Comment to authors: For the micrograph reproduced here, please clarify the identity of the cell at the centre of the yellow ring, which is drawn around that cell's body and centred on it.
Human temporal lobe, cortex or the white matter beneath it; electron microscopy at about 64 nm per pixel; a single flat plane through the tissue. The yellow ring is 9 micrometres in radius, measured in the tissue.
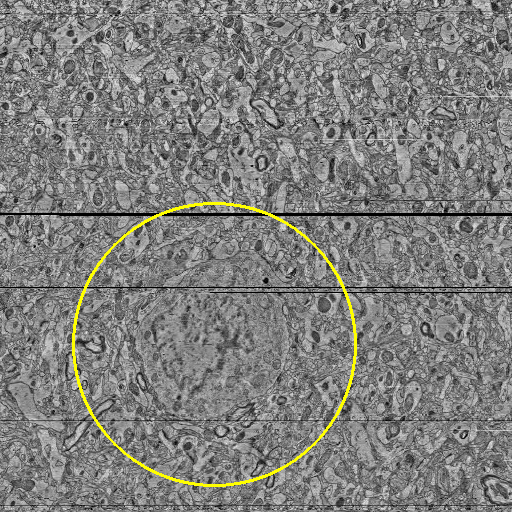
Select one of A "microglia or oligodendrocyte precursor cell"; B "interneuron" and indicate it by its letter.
B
